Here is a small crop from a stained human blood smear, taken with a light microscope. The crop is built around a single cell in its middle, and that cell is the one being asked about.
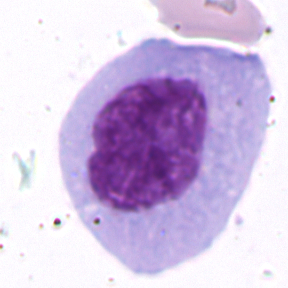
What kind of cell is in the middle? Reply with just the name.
plasma cell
